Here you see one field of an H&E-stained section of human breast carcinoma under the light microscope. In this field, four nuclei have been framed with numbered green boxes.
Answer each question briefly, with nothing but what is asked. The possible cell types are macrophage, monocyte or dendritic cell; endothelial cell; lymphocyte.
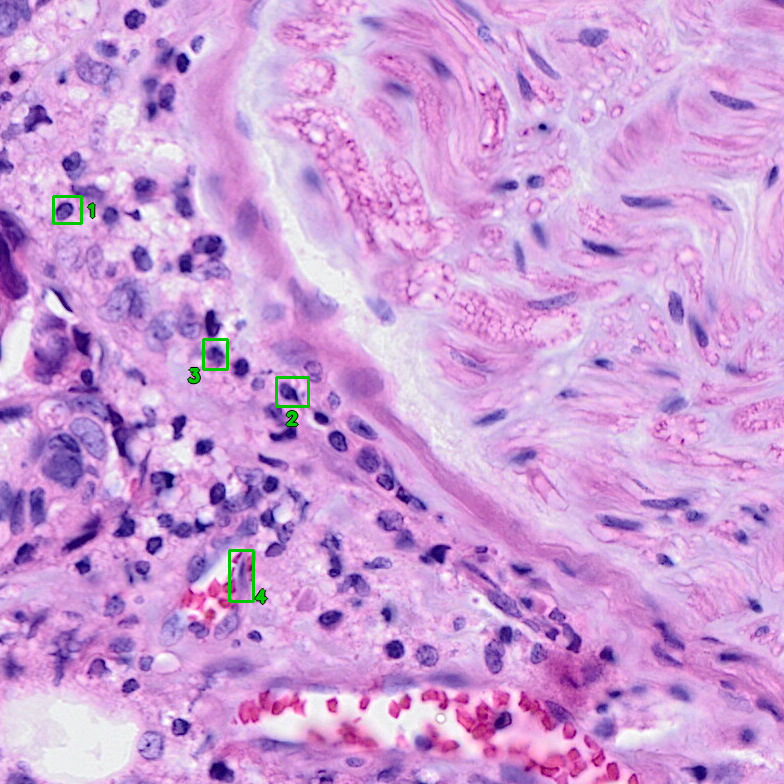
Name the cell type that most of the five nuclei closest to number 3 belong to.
macrophage, monocyte or dendritic cell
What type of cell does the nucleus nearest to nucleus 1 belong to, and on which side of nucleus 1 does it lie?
a macrophage, monocyte or dendritic cell; above and to the right of nucleus 1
